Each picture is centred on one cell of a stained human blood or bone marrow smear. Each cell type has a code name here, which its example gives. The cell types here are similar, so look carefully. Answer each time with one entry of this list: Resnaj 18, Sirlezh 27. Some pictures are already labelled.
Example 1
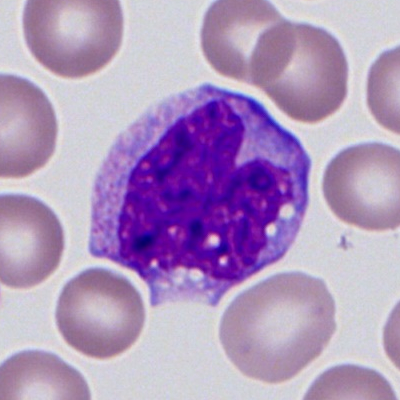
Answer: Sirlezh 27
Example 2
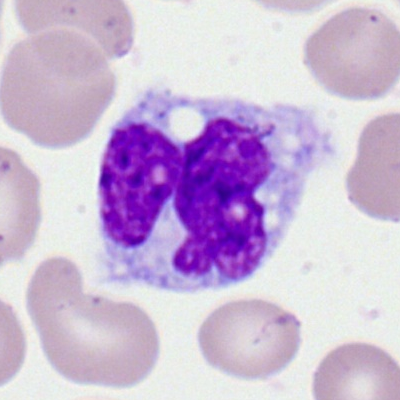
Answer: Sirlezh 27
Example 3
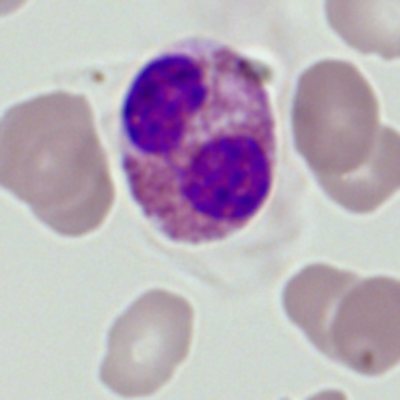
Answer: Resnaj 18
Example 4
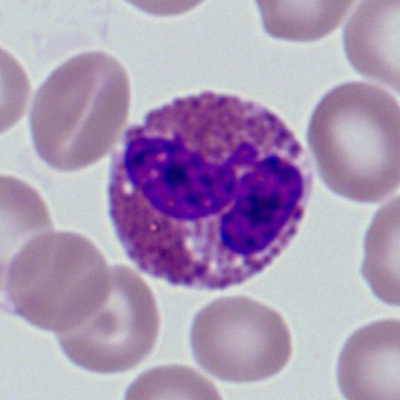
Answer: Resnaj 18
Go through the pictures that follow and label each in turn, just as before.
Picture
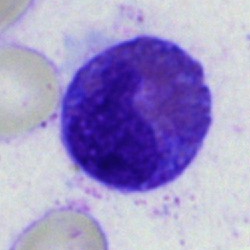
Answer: Resnaj 18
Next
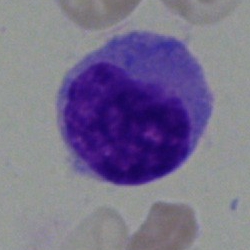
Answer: Sirlezh 27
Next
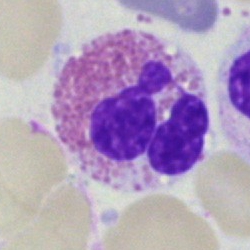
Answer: Resnaj 18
